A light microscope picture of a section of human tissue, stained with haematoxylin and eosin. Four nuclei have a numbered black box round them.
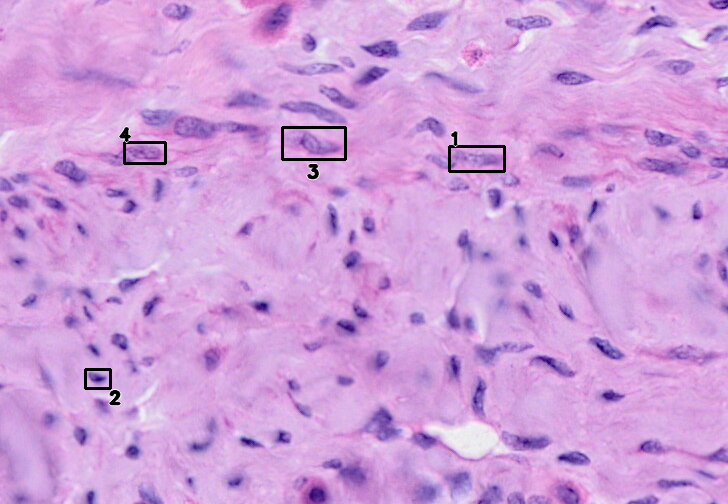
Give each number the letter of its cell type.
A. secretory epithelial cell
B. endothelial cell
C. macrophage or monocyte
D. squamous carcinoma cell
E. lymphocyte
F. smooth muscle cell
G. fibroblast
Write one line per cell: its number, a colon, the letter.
1: F
2: G
3: F
4: F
